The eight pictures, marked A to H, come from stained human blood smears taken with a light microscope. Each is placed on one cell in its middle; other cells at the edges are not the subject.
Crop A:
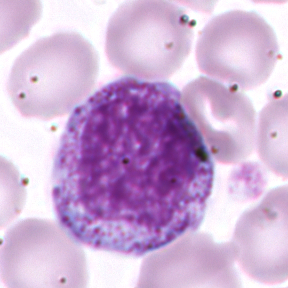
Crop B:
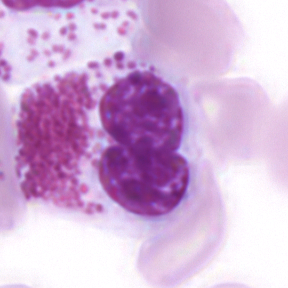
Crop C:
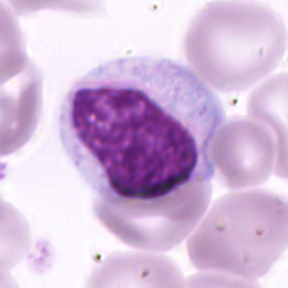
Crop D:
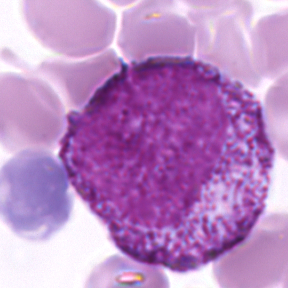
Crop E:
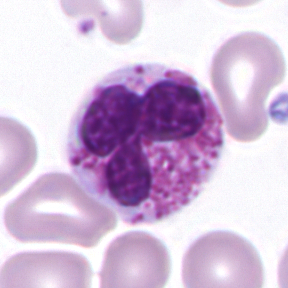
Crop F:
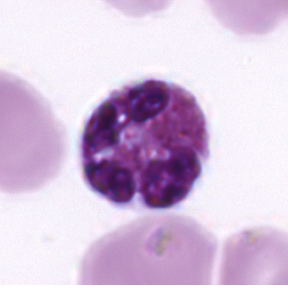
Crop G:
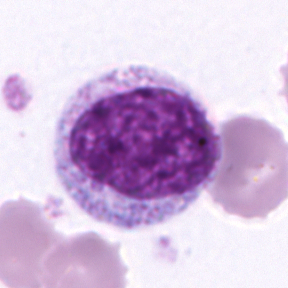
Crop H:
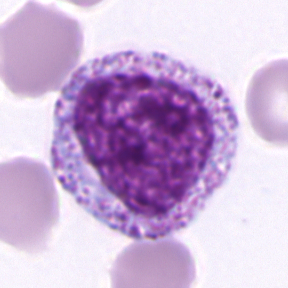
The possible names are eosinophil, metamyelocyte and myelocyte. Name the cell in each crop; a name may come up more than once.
A: myelocyte
B: eosinophil
C: metamyelocyte
D: myelocyte
E: eosinophil
F: eosinophil
G: myelocyte
H: myelocyte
